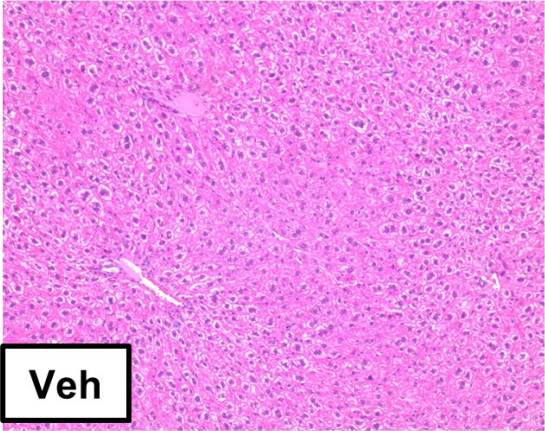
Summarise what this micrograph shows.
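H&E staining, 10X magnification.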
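This section of liver shows hepatocytes arranged in sheets and plates across the field. The cells are polygonal, with pink cytoplasm and round, centrally placed purple nuclei. Staining is fairly even throughout, without a distinct zone of deeper pink or of nucleus-free cells. A few small vessels appear as narrow clear slits among the cell plates. No dense clusters of small dark nuclei are seen.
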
